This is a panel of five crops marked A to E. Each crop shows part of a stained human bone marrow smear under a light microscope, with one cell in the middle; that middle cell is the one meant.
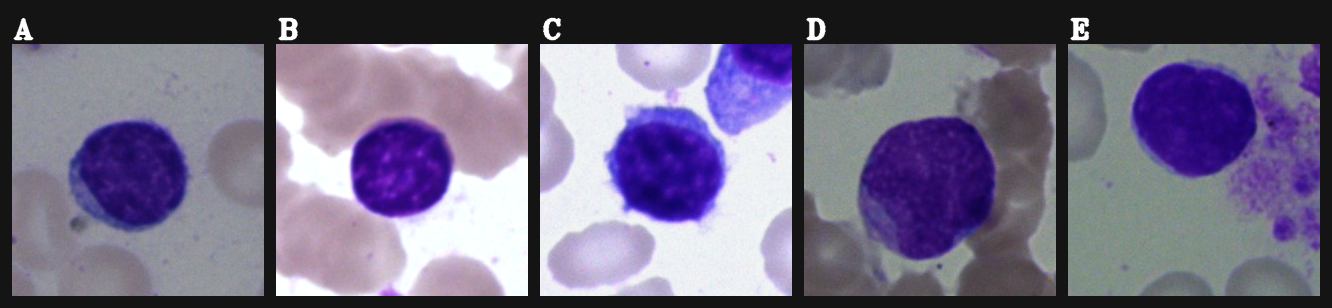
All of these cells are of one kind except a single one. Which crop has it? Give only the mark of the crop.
D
